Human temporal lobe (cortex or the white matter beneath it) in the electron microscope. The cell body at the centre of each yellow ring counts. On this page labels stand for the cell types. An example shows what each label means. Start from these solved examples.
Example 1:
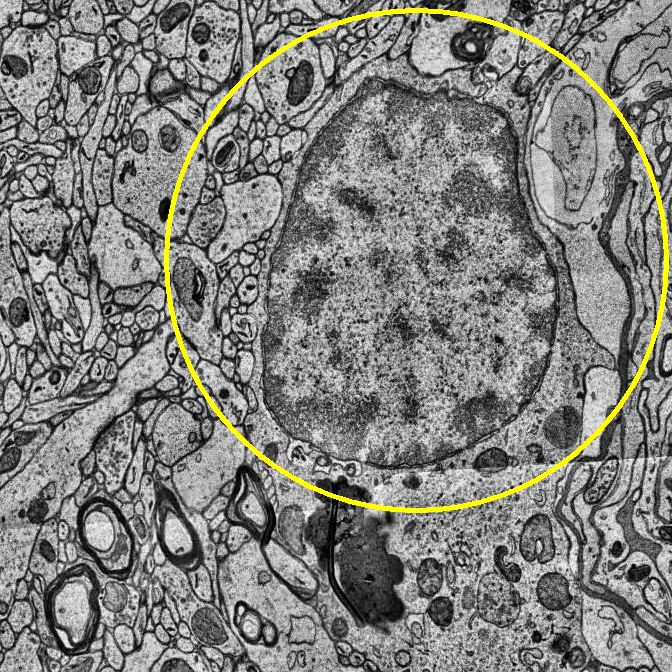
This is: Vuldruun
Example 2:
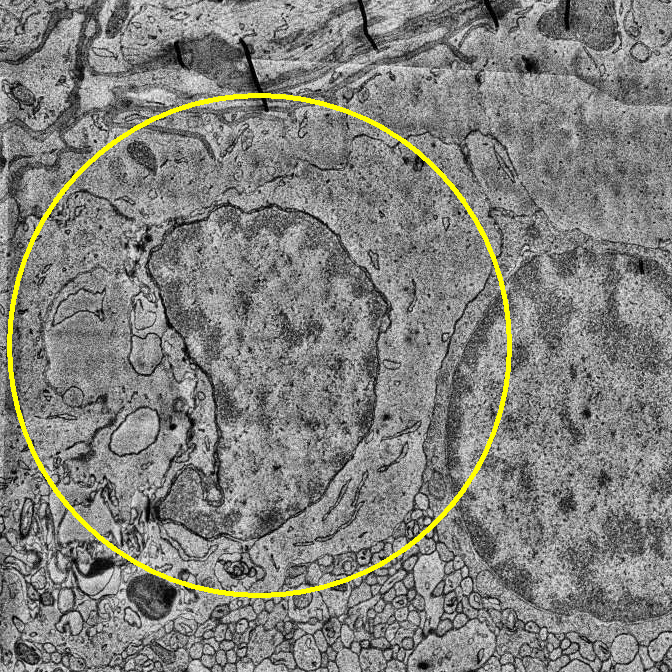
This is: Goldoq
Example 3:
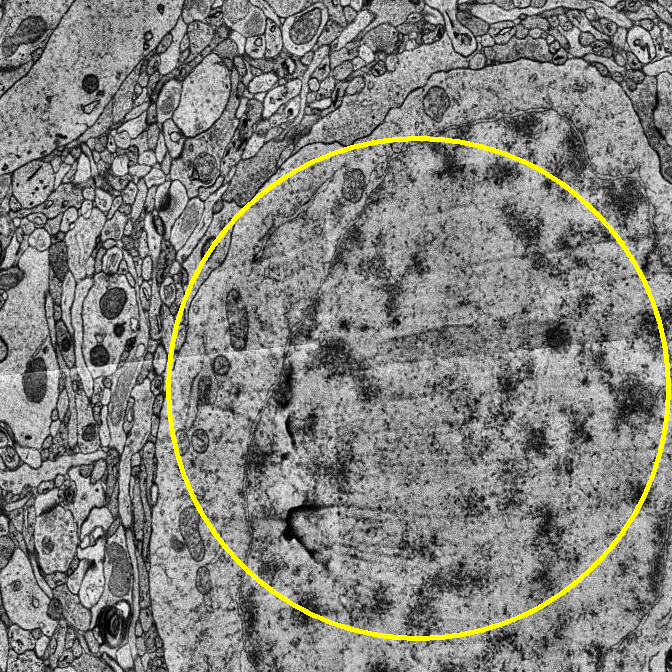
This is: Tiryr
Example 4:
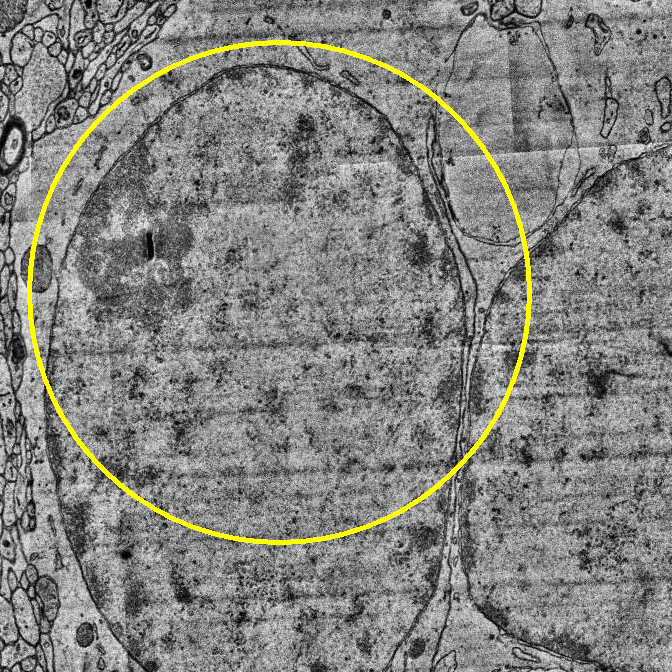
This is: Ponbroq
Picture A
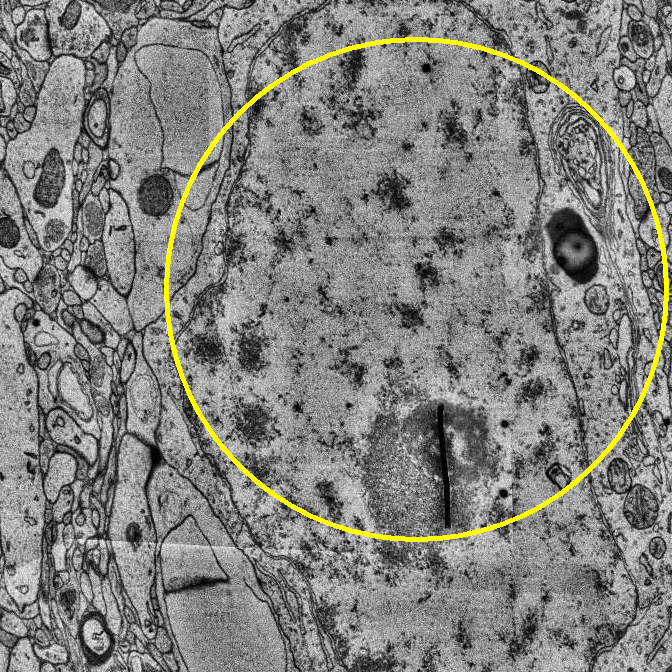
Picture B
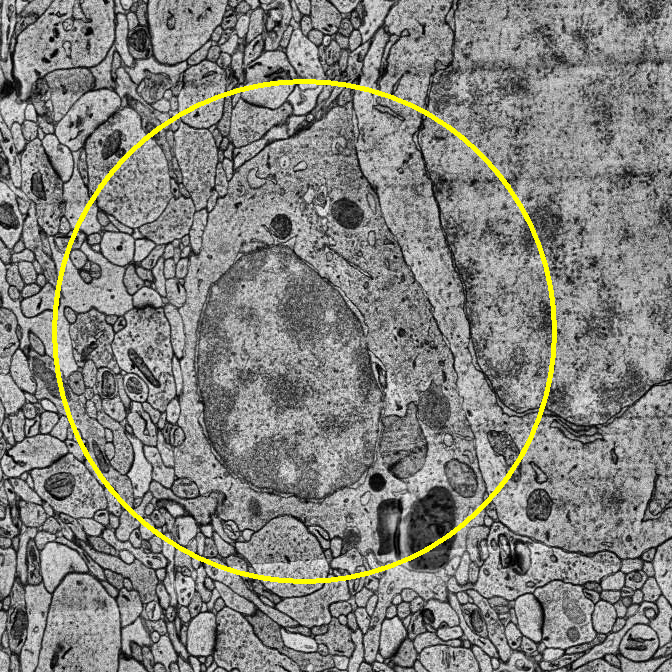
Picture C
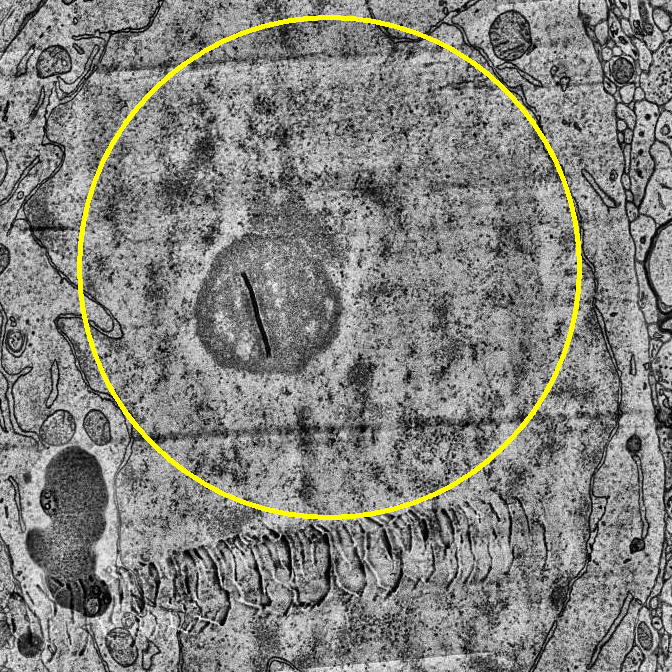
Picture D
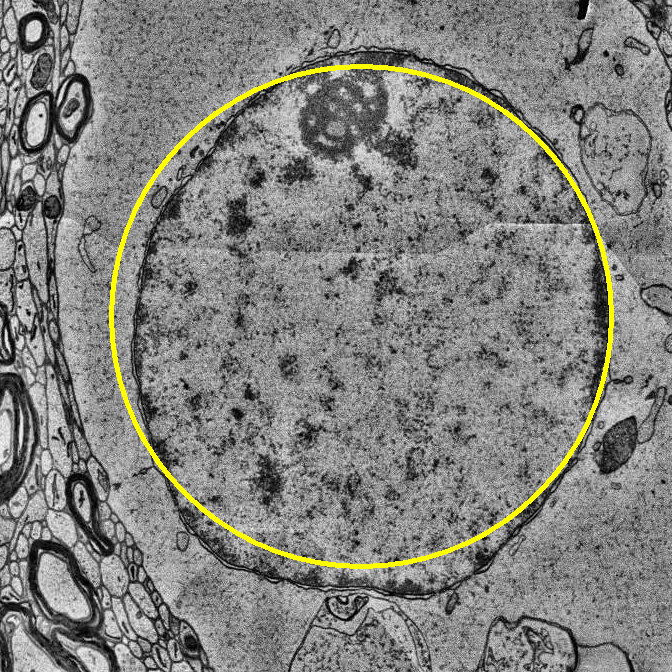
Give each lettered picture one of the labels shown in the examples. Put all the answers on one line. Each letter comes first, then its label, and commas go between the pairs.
A Tiryr, B Vuldruun, C Tiryr, D Ponbroq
